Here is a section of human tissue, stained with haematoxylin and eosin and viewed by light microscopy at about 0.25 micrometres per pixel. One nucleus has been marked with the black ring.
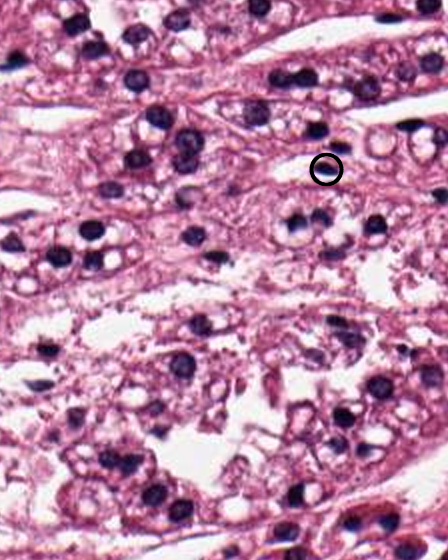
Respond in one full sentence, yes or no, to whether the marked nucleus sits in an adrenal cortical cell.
No, the marked nucleus belongs to a supporting cell, and an adrenal cortical cell is not its owner.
